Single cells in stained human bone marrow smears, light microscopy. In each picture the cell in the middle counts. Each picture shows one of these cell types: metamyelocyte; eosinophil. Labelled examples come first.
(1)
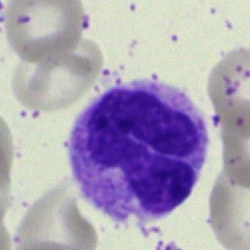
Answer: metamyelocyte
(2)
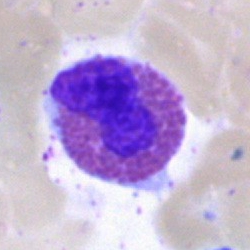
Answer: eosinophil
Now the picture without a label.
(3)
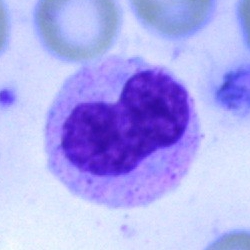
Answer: metamyelocyte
